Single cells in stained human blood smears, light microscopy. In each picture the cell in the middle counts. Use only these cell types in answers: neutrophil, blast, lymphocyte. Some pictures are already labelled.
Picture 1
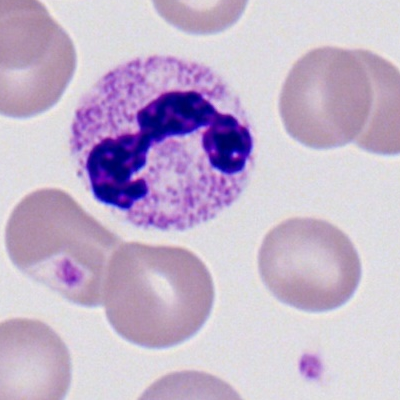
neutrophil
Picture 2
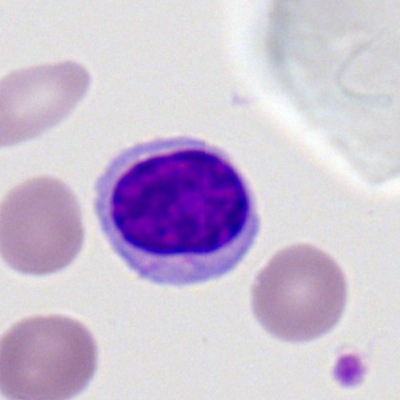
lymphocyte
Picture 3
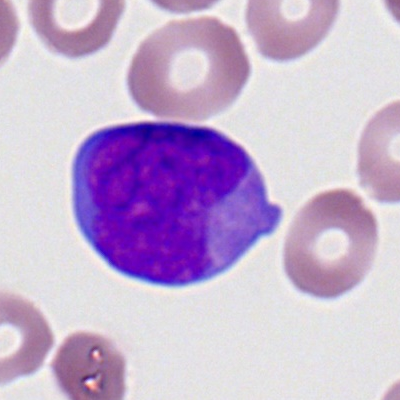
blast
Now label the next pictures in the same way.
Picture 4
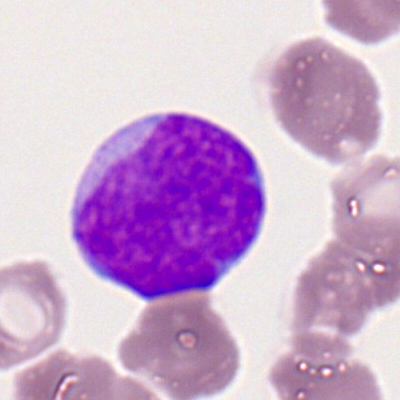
blast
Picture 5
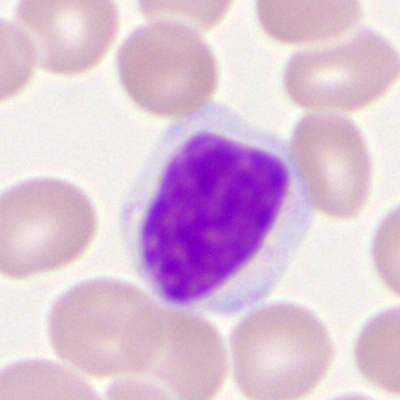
lymphocyte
